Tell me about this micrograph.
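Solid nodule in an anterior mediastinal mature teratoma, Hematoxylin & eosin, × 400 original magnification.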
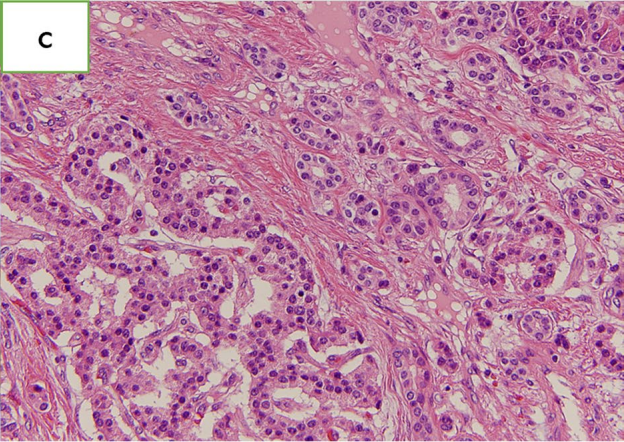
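Tumor cells lie in anastomosing cords and ribbons, some forming small tubule-like or rosette-like groups, set in pale pink fibrous stroma that runs as a band across the upper part of the field. The cells are closely packed and fairly uniform, with round, purple nuclei and a moderate amount of pink to pale cytoplasm. Narrow clear spaces separate many of the cords from the surrounding stroma.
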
